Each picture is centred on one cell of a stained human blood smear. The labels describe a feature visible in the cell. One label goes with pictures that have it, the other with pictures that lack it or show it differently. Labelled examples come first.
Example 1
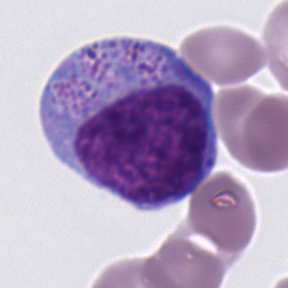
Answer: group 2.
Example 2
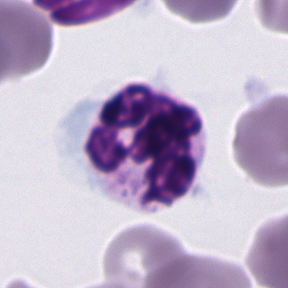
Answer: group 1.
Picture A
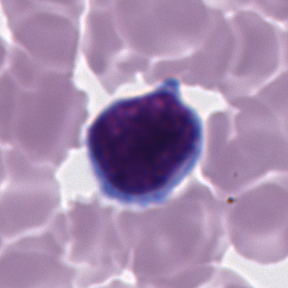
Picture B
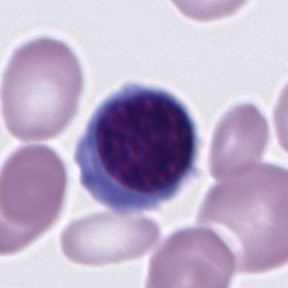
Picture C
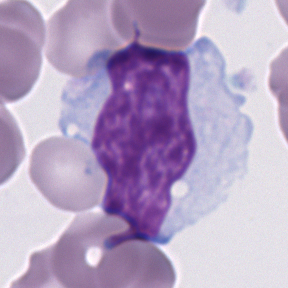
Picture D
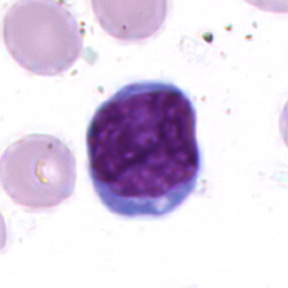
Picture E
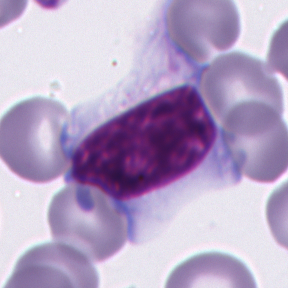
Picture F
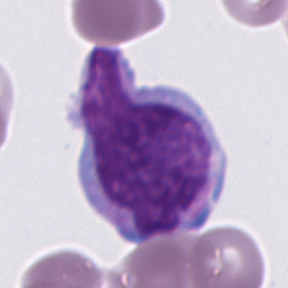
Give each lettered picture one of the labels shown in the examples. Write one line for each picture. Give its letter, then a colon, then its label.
A: group 1.
B: group 1.
C: group 2.
D: group 1.
E: group 2.
F: group 1.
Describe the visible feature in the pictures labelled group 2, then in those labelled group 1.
In group 2: abundant cytoplasm. In group 1: scant cytoplasm.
